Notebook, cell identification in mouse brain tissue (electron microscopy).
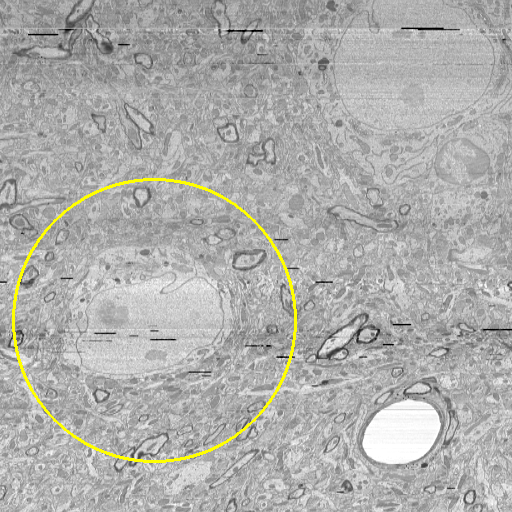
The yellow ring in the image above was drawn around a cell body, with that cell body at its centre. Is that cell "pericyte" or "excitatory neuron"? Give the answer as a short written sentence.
The cell in the ring is an excitatory neuron.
